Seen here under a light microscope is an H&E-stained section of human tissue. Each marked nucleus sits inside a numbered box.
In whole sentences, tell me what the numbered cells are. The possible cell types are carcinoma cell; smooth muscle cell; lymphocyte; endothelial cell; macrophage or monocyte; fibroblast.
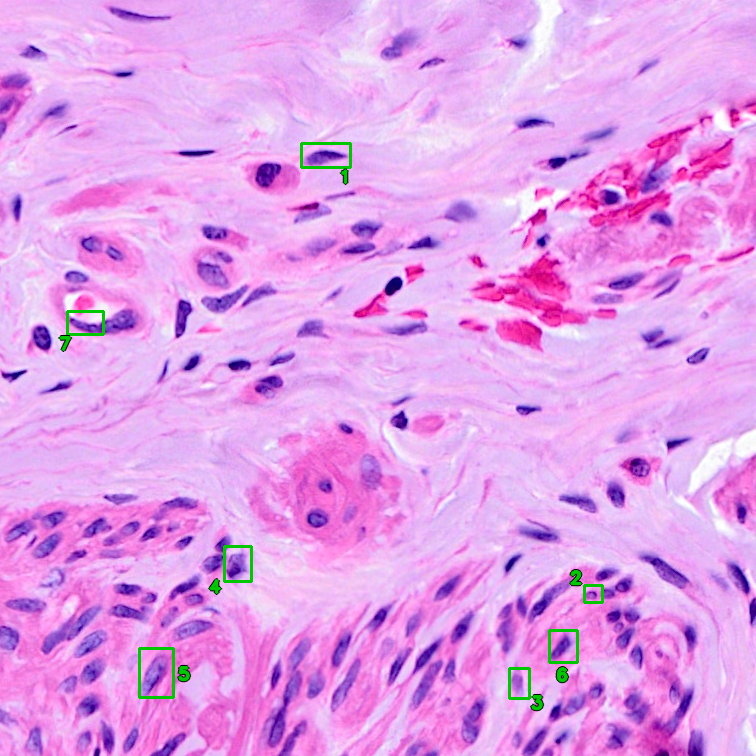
Cells 1 and 4 are fibroblasts. Cells 2, 3, 5 and 6 are smooth muscle cells. Cell 7 is an endothelial cell.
